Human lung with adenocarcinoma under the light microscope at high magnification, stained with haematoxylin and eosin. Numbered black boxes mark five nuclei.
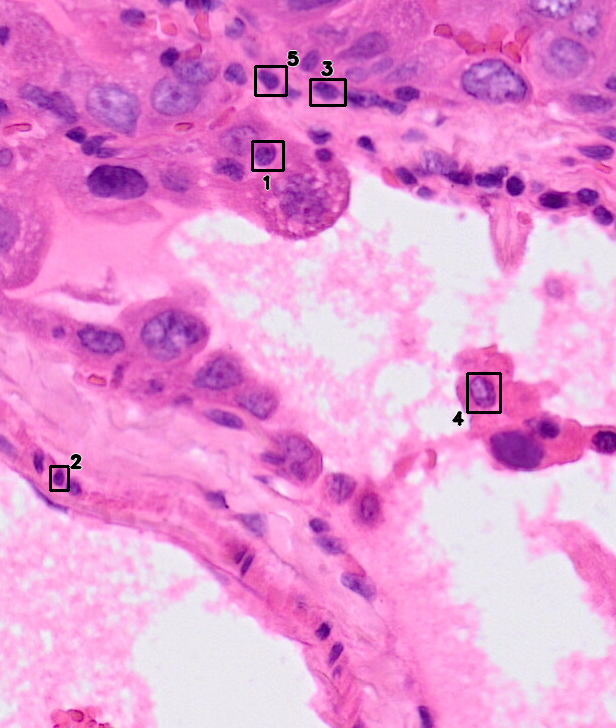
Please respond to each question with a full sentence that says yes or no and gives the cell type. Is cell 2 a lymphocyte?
No, it is a smooth muscle cell or pericyte, rather than a lymphocyte, that carries number 2.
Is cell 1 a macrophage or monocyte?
No, it is a lymphocyte, rather than a macrophage or monocyte, that carries number 1.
